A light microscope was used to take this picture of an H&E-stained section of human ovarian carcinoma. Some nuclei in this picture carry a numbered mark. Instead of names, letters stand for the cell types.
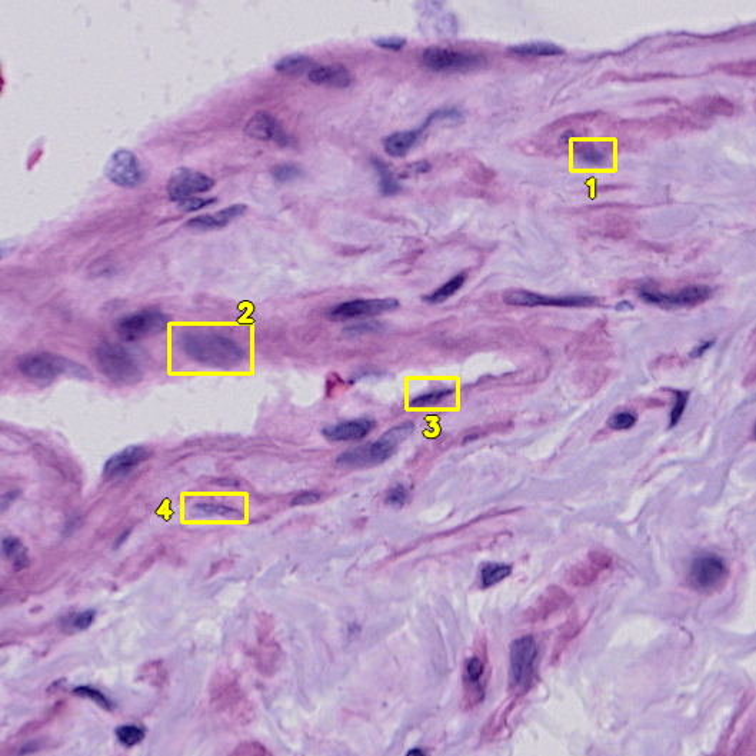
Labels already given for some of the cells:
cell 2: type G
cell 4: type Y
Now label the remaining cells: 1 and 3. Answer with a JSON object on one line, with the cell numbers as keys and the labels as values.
{"1": "type Y", "3": "type G"}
